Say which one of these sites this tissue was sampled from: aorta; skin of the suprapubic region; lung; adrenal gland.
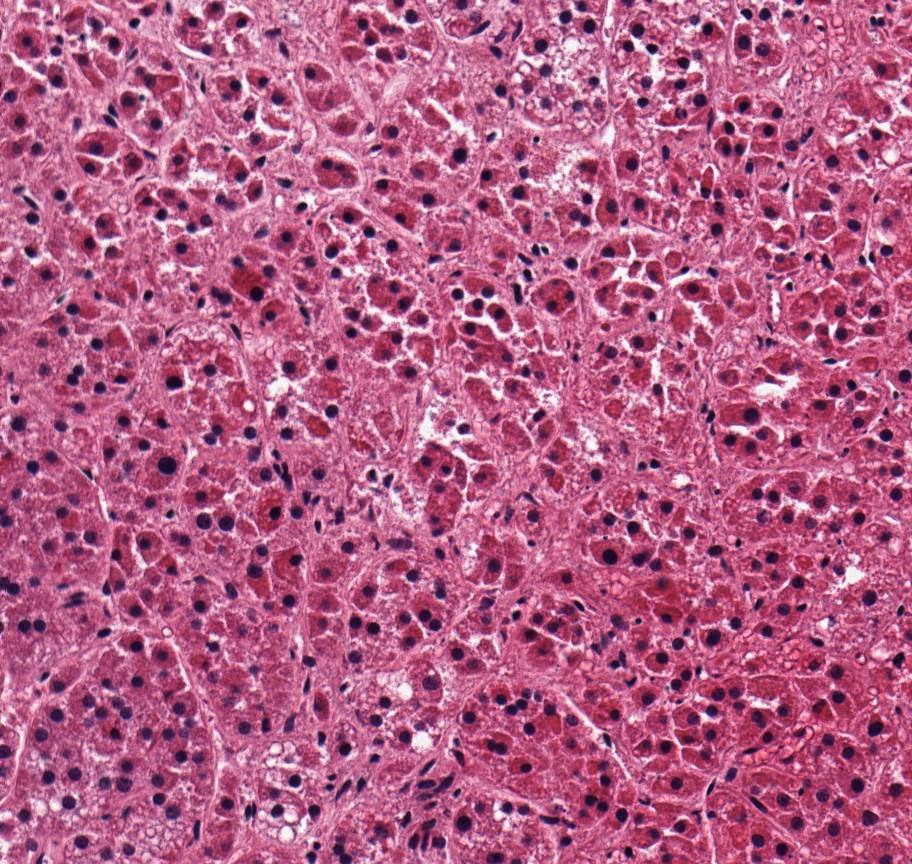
adrenal gland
